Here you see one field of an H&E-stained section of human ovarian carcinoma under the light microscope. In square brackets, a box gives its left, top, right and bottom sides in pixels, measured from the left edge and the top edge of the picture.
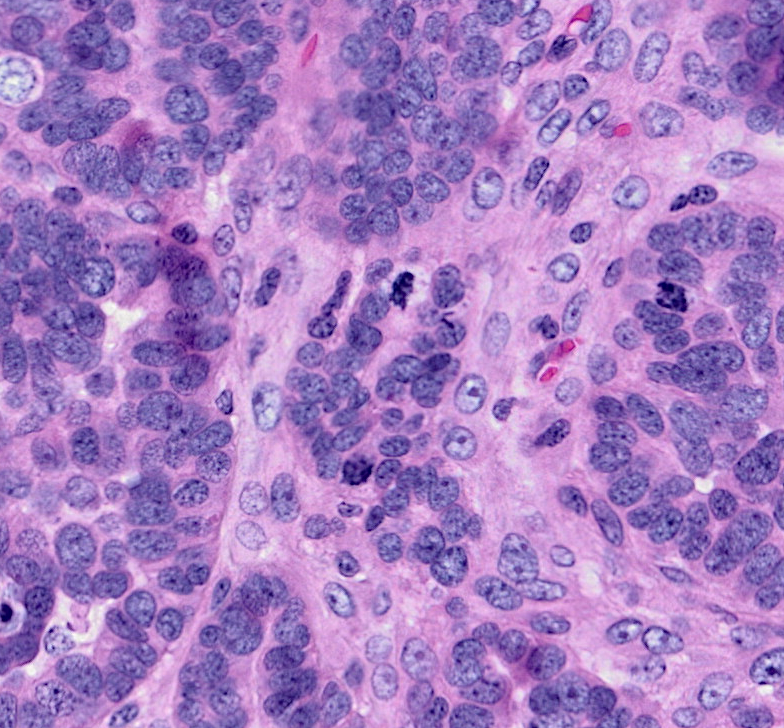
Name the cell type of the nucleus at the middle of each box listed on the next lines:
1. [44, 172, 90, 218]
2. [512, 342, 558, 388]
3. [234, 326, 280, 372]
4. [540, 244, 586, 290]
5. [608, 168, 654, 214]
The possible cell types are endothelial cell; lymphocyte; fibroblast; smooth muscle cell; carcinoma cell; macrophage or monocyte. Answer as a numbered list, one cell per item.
1. macrophage or monocyte
2. endothelial cell
3. fibroblast
4. fibroblast
5. fibroblast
